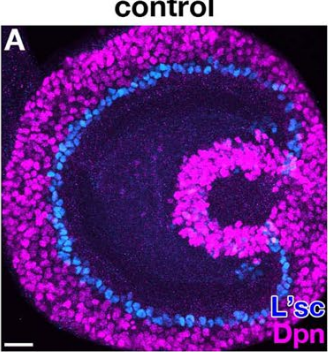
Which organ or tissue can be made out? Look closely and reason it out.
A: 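A broad curved band of densely packed magenta nuclei encircles the lobe. A single row of blue cells lines the inner edge of that band. A separate C-shaped cluster of magenta nuclei lies near the centre.
Conclusion: optic lobes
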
